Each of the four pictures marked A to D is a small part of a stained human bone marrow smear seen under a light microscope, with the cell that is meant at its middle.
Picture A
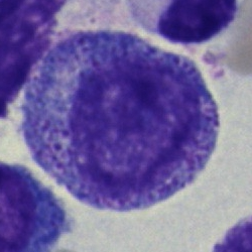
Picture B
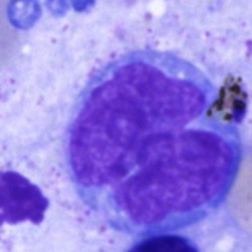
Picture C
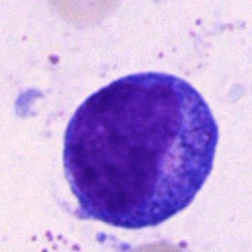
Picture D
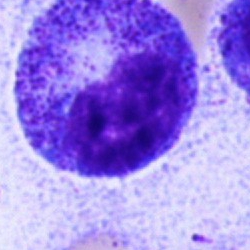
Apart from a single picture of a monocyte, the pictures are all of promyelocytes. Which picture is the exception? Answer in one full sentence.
Picture B is the one that shows the monocyte.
